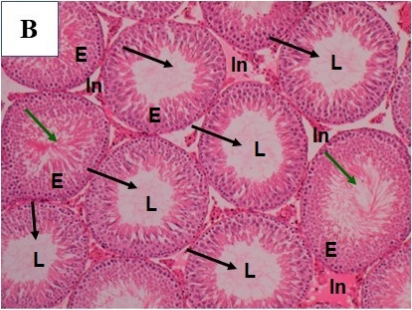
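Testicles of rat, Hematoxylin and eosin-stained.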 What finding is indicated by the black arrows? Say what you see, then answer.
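The arrowed tubules have wide, pale central lumens. The cellular layer around these lumens looks relatively thin compared with the tubule's diameter. On this evidence: increased luminal areas and thinner germinal layers.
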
